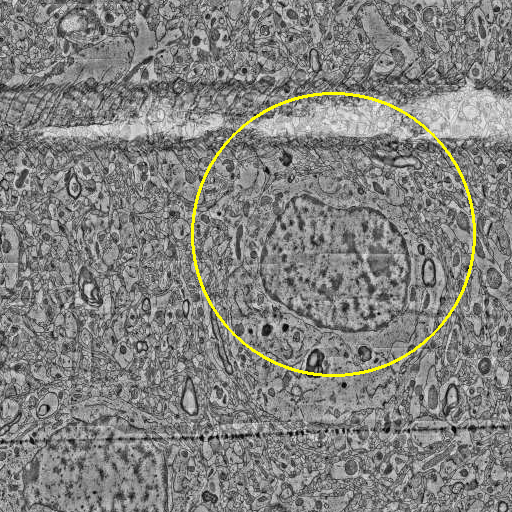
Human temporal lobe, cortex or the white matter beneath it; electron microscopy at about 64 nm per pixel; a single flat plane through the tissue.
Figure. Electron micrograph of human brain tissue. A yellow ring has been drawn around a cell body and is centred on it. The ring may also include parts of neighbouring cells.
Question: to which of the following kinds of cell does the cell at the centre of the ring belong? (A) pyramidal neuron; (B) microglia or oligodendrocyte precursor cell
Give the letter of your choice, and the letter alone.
B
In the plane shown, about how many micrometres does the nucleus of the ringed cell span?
The nucleus is approximately 10 micrometers long by 9 micrometers wide in this plane.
